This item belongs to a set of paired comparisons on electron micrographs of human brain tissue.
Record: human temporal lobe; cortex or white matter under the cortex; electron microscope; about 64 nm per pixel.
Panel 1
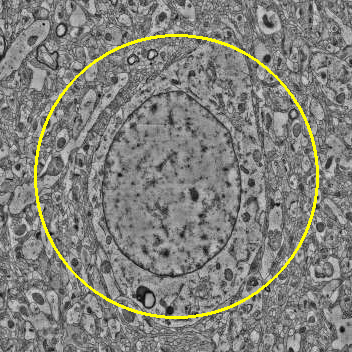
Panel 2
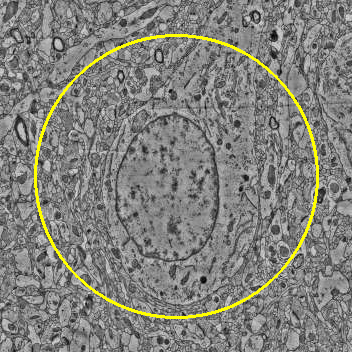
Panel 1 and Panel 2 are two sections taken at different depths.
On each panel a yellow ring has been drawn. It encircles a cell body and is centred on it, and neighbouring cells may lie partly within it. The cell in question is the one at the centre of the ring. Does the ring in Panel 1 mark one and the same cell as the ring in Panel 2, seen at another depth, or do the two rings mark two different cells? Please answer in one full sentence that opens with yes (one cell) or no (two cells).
Yes, the two rings belong to one cell, not to two.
